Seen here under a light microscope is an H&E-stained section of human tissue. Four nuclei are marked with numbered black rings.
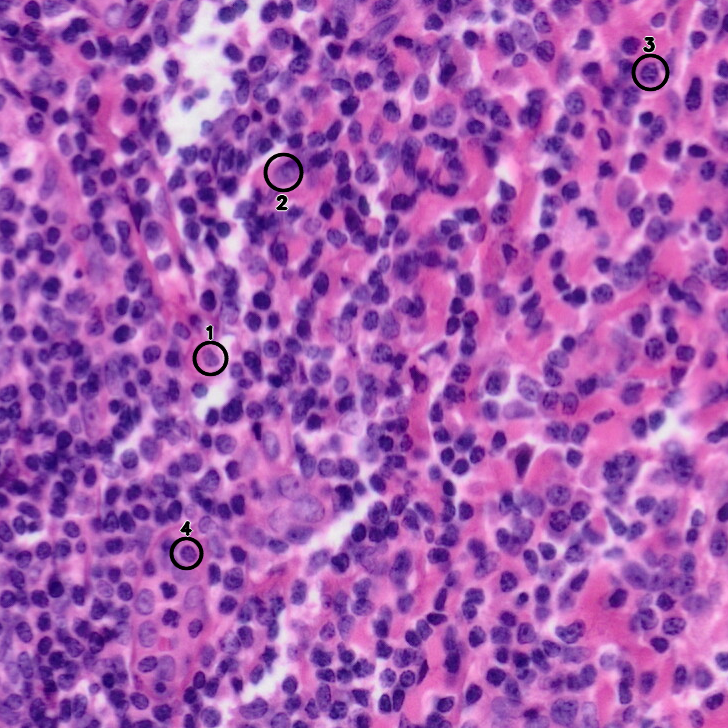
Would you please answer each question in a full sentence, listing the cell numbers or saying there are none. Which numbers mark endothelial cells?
The cells with numbers 1, 2 and 4 are endothelial cells by type.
